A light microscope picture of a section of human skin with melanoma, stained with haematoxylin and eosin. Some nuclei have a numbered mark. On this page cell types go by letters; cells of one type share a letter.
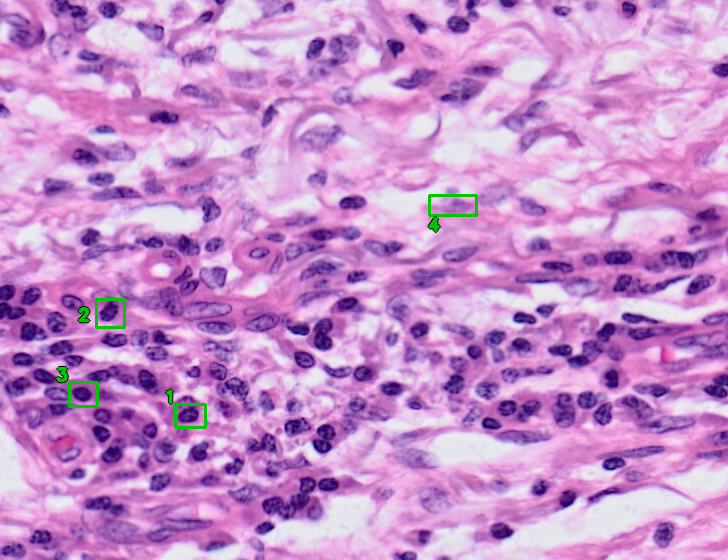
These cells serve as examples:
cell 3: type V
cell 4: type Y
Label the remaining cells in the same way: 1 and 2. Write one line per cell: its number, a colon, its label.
1: type V
2: type V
